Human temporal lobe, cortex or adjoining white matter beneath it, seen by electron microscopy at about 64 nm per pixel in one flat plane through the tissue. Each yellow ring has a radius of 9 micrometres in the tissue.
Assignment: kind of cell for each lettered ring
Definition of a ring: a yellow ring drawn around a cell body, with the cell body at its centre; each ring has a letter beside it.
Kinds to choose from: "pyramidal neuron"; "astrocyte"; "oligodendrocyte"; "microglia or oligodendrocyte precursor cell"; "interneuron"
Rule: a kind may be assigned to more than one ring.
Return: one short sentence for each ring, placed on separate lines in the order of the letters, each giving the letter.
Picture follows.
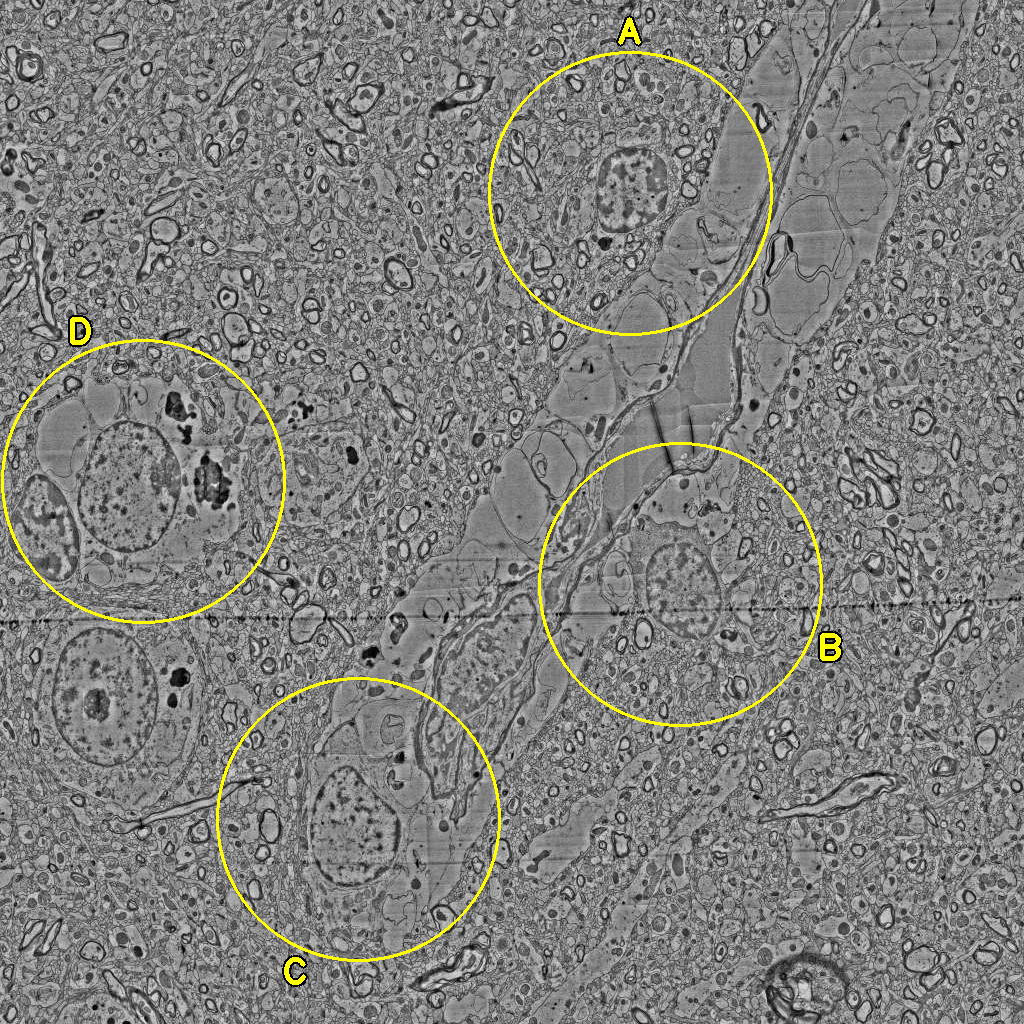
The ring marked A is centred on a microglial cell or oligodendrocyte precursor cell.
The ring marked B is centred on an oligodendrocyte.
The ring marked C is centred on a microglial cell or oligodendrocyte precursor cell.
The ring marked D is centred on an astrocyte.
